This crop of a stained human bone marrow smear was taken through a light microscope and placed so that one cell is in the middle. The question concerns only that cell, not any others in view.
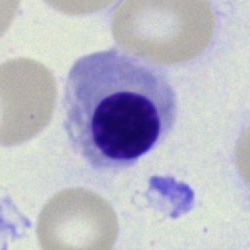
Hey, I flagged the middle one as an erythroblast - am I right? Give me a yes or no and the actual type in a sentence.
Yes, that is right: the middle cell is an erythroblast.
